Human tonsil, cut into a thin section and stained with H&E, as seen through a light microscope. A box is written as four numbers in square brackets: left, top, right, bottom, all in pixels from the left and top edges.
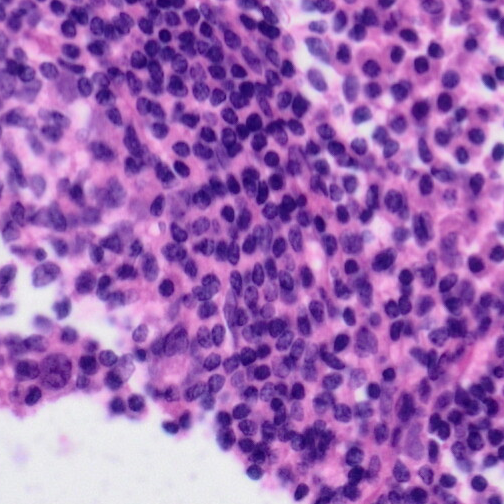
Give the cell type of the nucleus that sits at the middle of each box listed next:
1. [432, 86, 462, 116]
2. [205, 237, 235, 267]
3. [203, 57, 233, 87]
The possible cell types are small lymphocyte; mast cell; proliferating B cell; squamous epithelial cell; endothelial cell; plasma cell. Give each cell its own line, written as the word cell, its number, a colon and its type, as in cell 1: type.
cell 1: plasma cell
cell 2: small lymphocyte
cell 3: small lymphocyte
